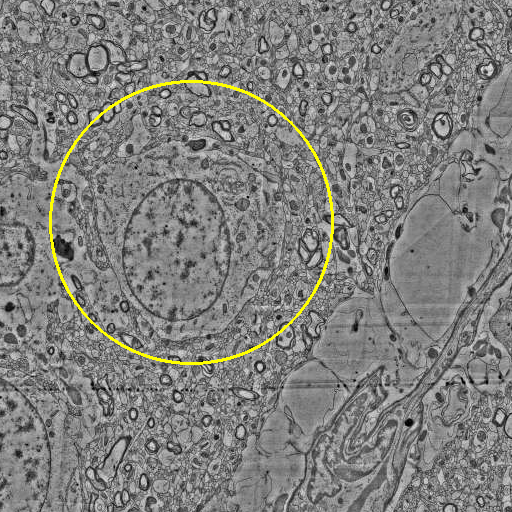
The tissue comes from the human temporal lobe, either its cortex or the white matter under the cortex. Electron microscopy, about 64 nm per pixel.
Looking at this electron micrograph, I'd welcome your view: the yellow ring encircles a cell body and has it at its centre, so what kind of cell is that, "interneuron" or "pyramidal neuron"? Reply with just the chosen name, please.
pyramidal neuron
